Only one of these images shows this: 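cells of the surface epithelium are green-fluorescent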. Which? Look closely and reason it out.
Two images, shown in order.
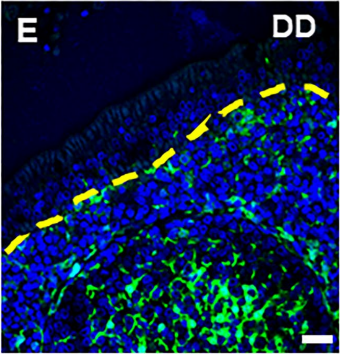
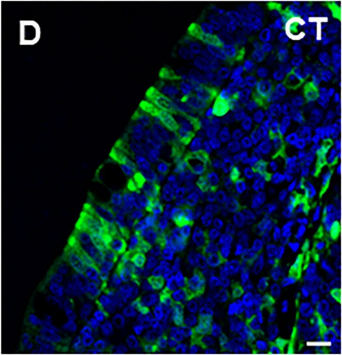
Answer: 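First image: the surface epithelium shows blue nuclei with no green cells in it. Second image: several tall green cells lie within the surface epithelium.
The second image.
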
